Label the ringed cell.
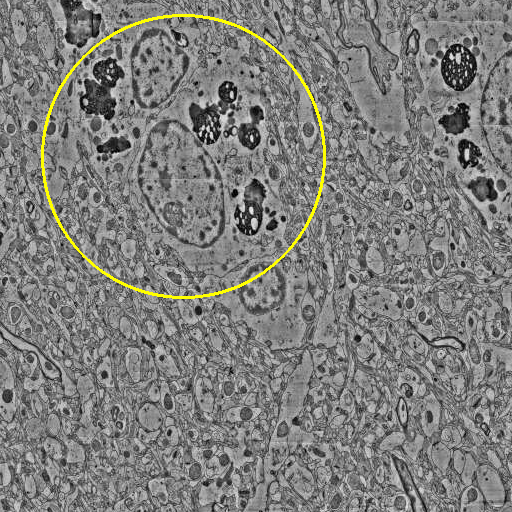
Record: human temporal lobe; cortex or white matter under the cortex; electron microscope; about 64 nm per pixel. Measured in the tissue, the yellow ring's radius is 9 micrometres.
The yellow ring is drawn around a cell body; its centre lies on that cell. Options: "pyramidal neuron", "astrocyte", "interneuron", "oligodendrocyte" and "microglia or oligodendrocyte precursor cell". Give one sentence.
The ringed cell is an astrocyte.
